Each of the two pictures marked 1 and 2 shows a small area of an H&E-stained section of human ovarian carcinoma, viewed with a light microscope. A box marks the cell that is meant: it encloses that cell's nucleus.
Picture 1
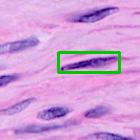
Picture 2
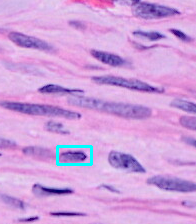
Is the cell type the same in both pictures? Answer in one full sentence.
Yes, they are the same type: both are smooth muscle cells.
